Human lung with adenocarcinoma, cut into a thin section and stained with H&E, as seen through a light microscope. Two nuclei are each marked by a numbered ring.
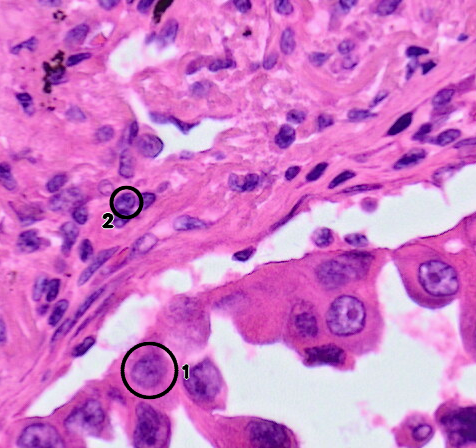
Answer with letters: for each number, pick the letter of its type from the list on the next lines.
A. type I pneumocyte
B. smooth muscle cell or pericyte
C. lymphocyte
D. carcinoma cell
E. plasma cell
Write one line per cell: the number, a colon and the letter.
1: D
2: C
